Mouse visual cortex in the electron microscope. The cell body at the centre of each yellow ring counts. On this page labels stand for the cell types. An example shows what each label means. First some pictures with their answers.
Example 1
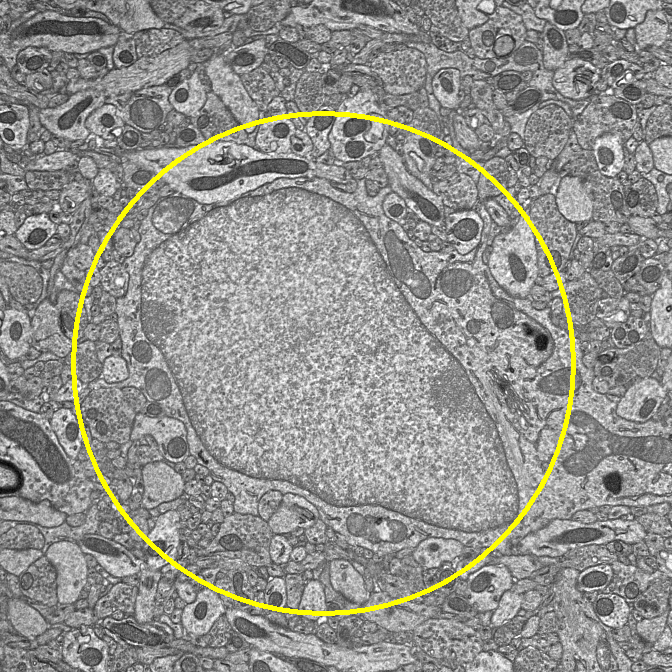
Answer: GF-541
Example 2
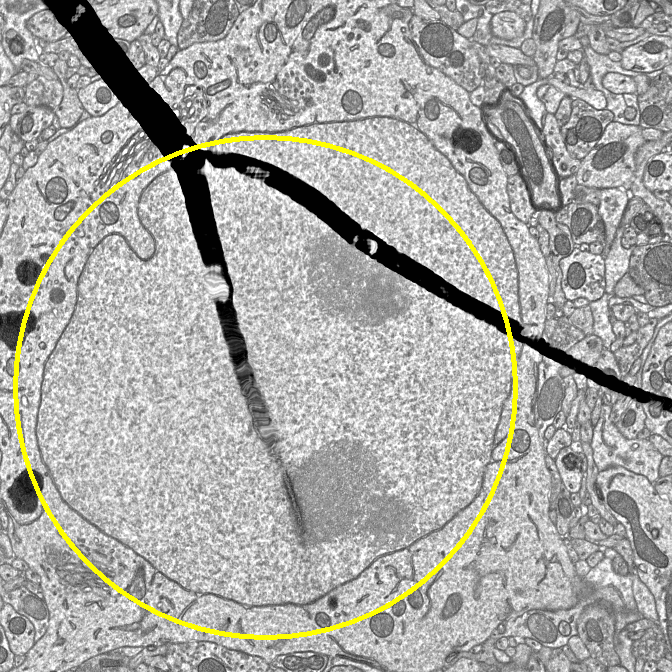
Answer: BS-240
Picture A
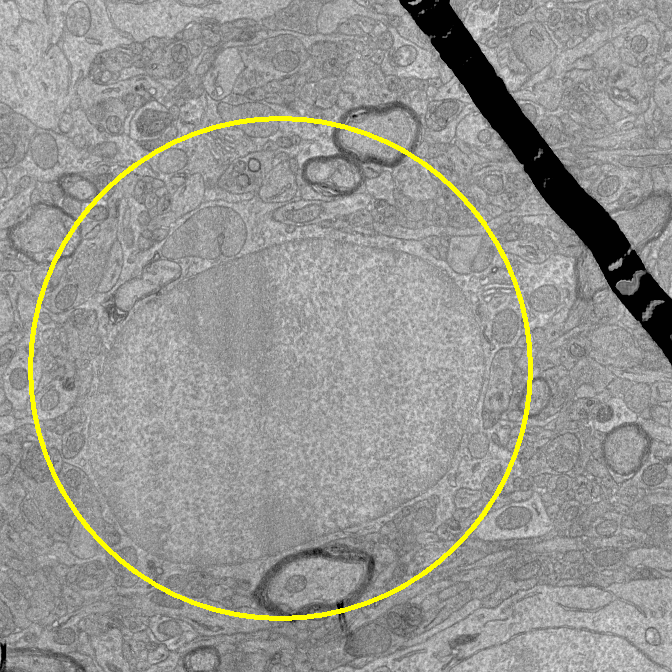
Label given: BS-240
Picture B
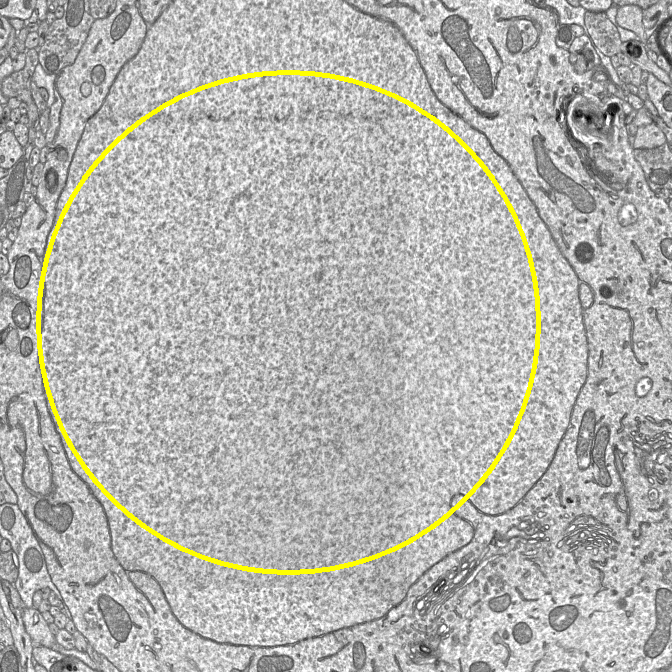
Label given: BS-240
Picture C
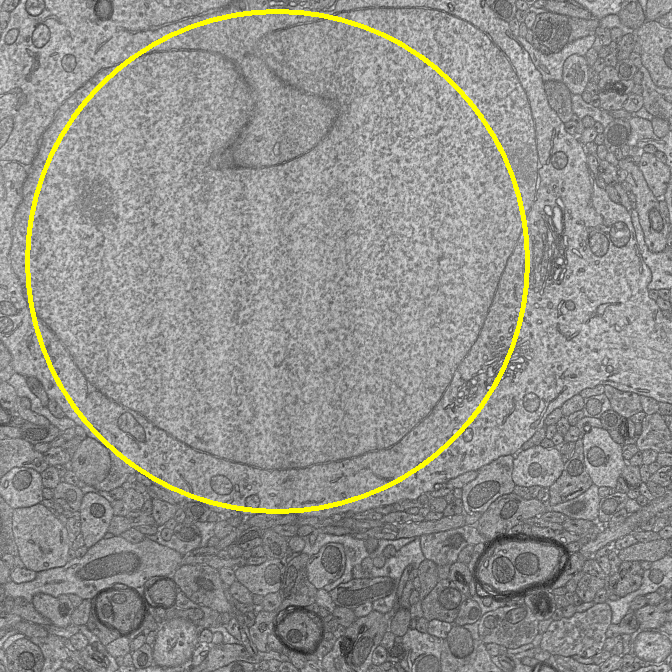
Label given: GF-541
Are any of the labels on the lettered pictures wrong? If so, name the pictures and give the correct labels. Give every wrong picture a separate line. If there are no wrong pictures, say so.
Wrong: A (BS-240); correct: GF-541
Wrong: C (GF-541); correct: BS-240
